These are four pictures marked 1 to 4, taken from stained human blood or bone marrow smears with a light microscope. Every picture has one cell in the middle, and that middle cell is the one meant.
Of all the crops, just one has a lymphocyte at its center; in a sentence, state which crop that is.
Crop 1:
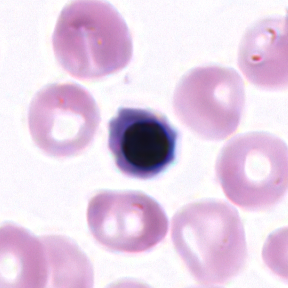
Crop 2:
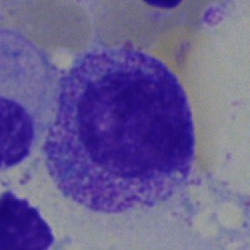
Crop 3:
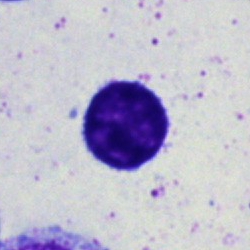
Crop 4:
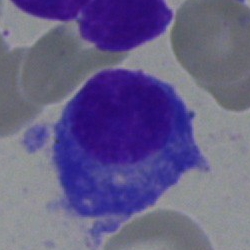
Among the crops provided, a lymphocyte occupies the center of crop 3.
